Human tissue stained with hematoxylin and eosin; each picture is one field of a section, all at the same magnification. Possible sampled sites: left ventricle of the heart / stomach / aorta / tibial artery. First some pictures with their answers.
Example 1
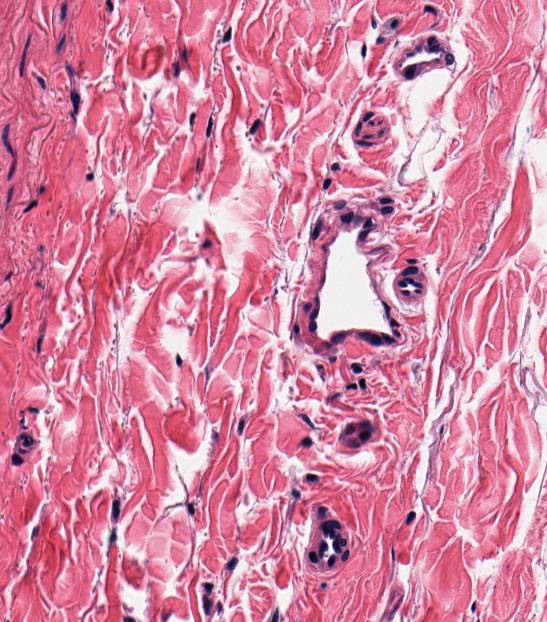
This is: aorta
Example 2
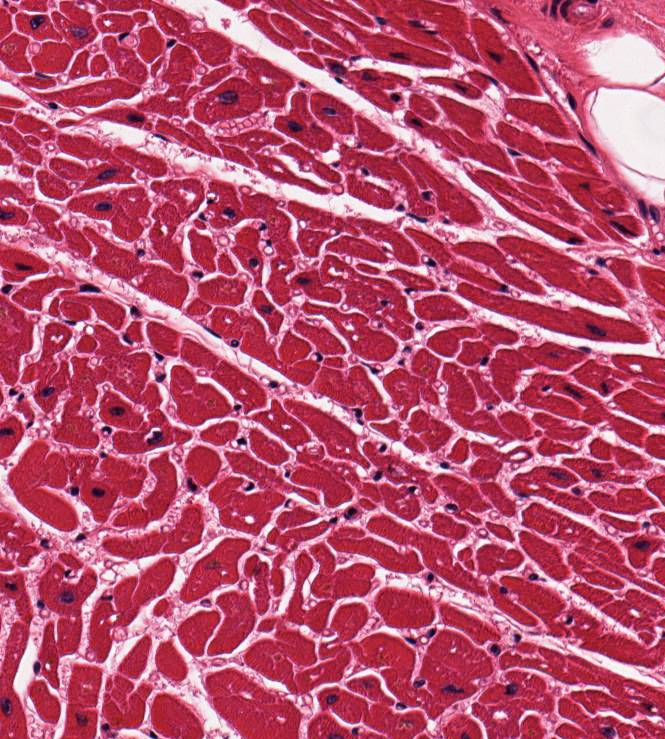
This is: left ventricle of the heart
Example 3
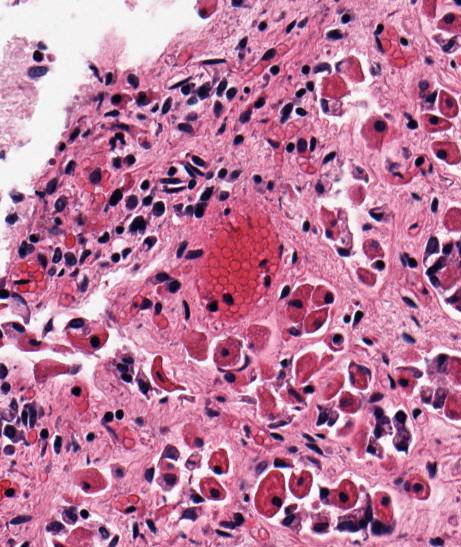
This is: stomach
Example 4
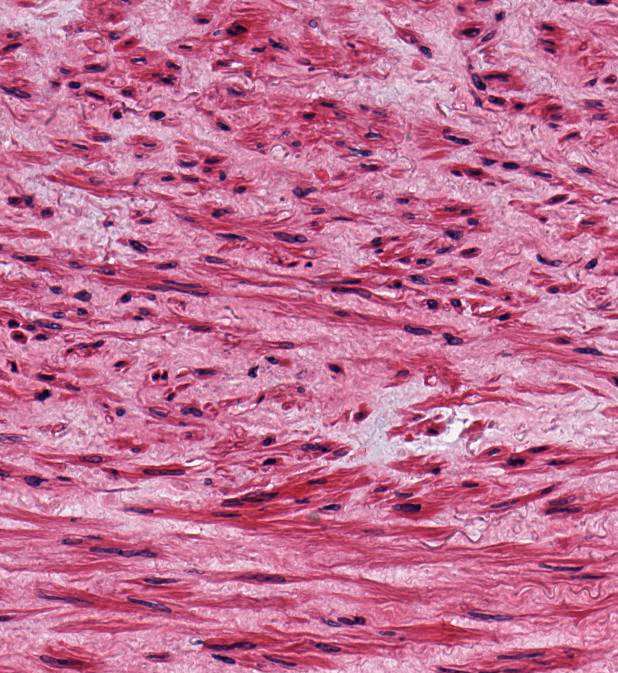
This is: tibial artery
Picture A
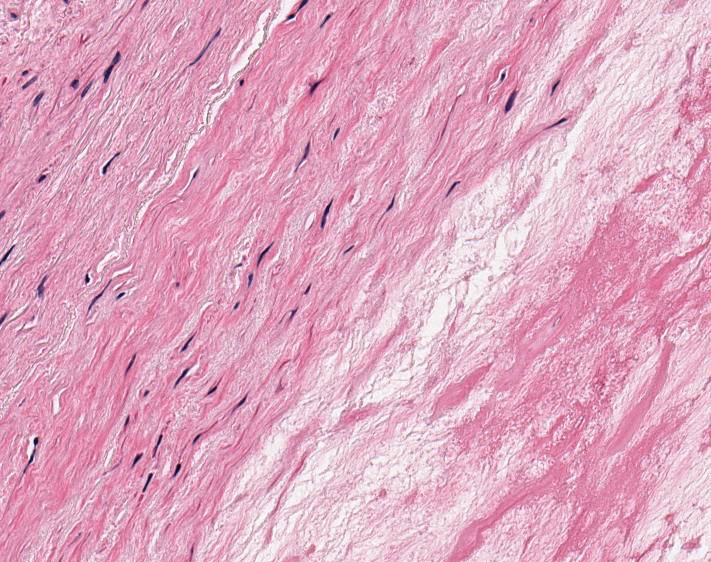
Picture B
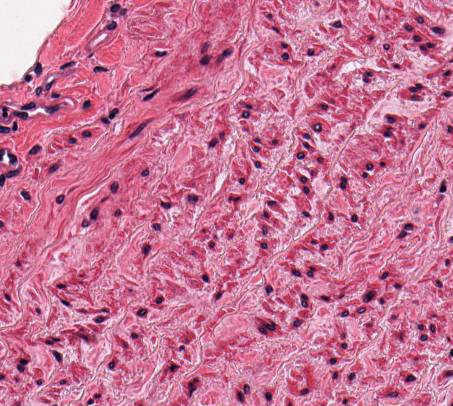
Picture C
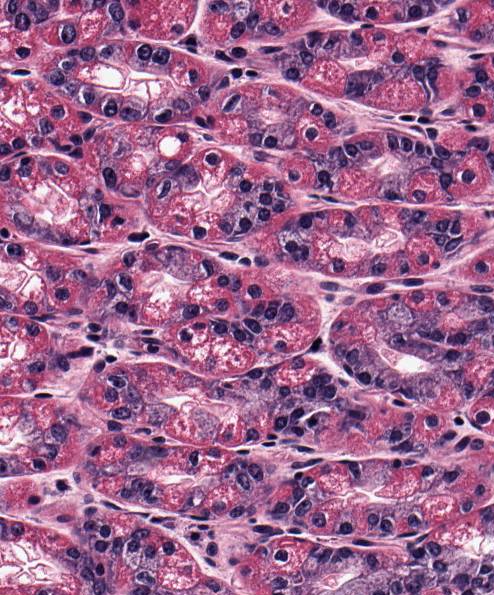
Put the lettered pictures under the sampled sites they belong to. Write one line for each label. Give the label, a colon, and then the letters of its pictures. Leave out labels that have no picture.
stomach: C
aorta: A, B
